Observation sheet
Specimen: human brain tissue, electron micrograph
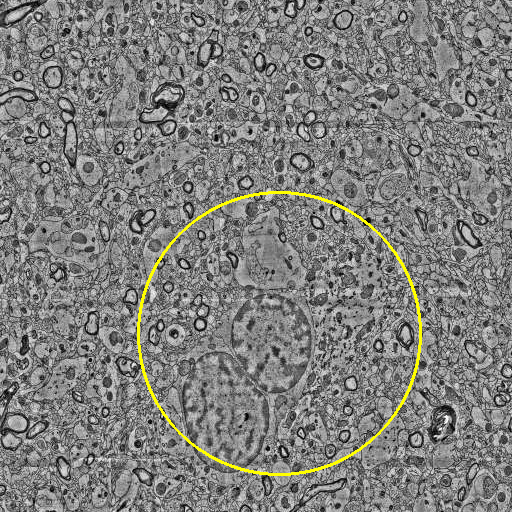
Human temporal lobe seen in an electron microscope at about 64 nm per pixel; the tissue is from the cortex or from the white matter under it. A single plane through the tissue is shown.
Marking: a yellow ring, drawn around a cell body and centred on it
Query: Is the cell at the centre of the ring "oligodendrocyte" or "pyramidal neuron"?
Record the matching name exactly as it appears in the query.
oligodendrocyte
